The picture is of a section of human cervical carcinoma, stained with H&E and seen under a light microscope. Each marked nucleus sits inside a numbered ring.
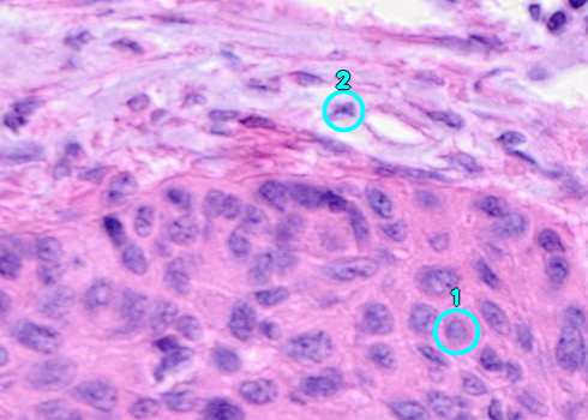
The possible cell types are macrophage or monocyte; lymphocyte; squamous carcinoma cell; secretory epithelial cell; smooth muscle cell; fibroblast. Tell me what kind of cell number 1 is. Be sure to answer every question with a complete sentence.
Of the numbered cells, the one labelled 1 is a squamous carcinoma cell.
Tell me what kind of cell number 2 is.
The cell numbered 2 represents a fibroblast.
